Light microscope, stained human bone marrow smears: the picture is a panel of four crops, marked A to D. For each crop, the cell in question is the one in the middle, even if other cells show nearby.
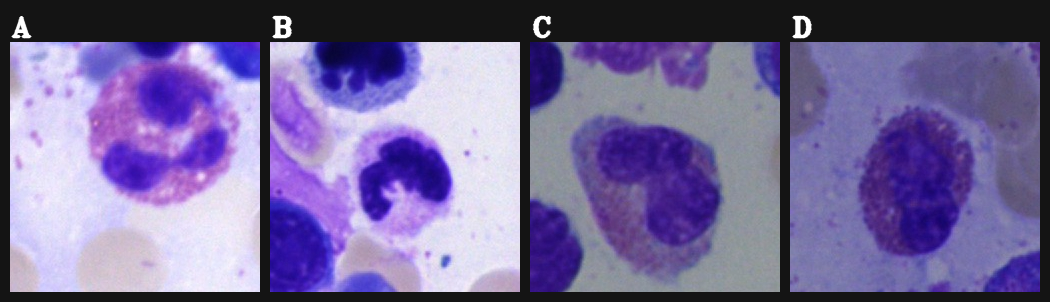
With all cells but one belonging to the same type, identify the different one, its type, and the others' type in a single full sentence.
Crop B, showing a segmented neutrophil, is the exception; the others all show eosinophils.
